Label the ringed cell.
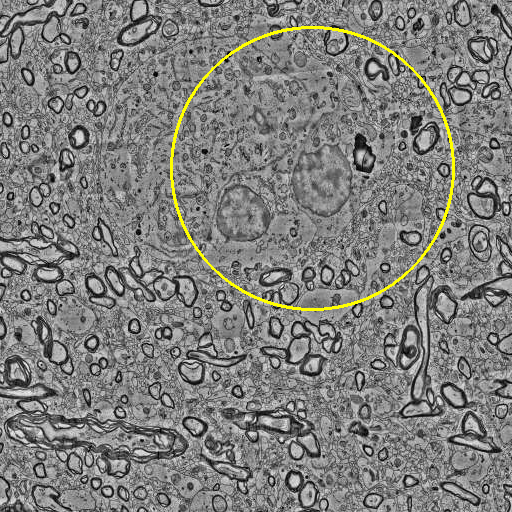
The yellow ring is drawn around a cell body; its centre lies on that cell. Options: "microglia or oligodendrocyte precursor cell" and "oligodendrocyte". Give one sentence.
The ringed cell is an oligodendrocyte.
